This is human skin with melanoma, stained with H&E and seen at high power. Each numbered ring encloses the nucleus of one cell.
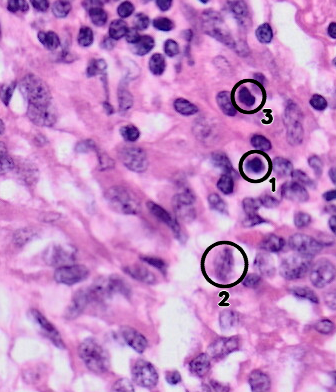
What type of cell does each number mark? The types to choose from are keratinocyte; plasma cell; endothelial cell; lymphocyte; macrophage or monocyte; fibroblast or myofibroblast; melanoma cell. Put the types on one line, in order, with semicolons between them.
lymphocyte; melanoma cell; lymphocyte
